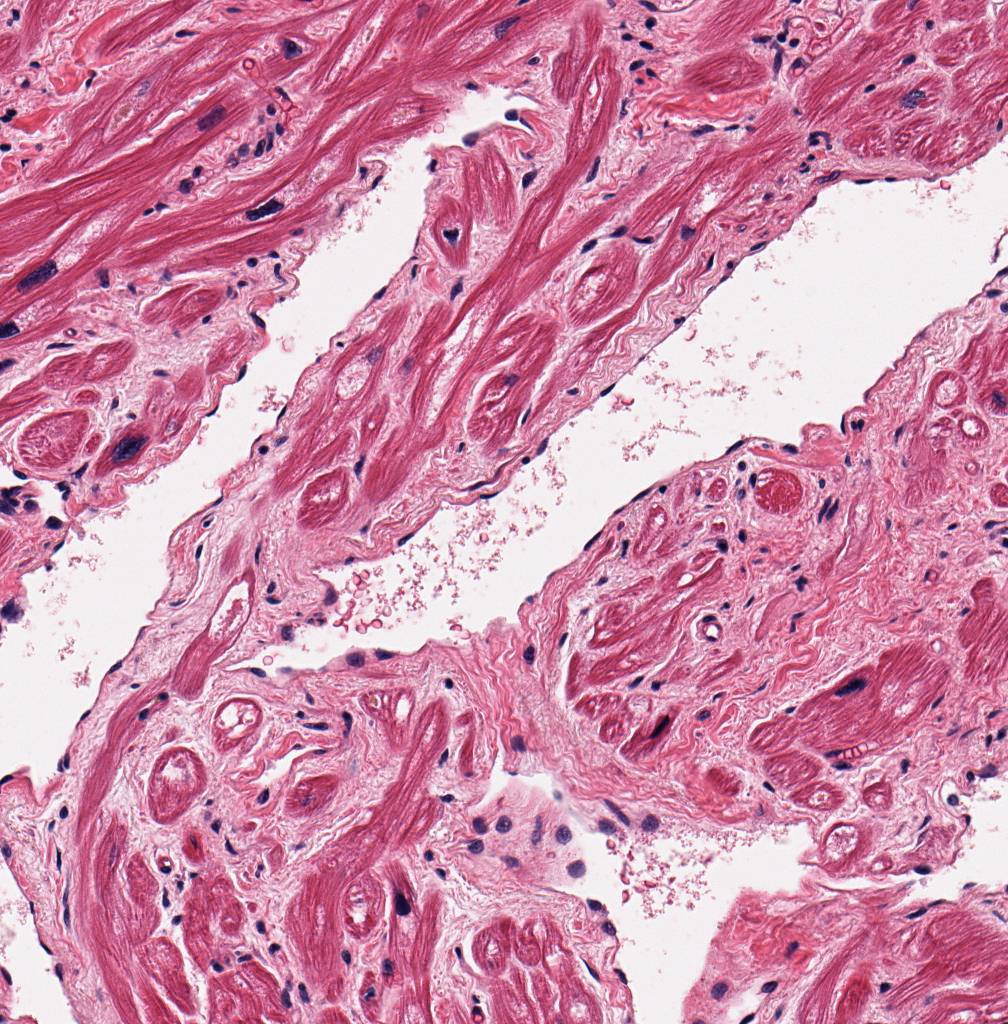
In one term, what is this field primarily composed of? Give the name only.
myocardium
